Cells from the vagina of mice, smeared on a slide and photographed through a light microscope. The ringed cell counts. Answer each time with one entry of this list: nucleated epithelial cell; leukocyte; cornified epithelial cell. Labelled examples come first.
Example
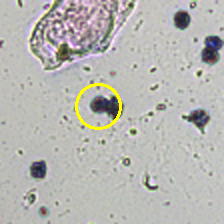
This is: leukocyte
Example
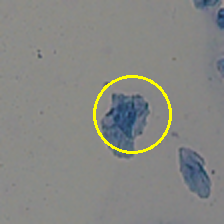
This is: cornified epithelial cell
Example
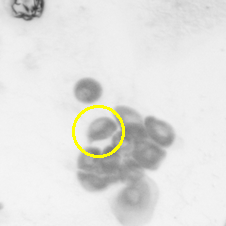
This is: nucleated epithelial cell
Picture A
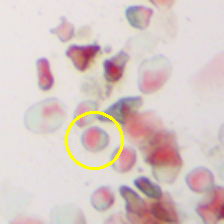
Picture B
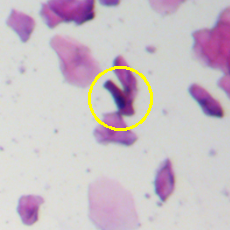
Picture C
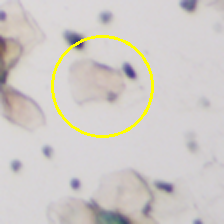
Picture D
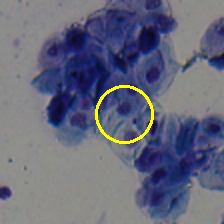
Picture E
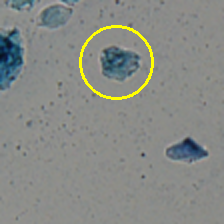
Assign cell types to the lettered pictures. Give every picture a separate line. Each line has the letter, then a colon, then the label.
A: nucleated epithelial cell
B: cornified epithelial cell
C: cornified epithelial cell
D: nucleated epithelial cell
E: cornified epithelial cell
